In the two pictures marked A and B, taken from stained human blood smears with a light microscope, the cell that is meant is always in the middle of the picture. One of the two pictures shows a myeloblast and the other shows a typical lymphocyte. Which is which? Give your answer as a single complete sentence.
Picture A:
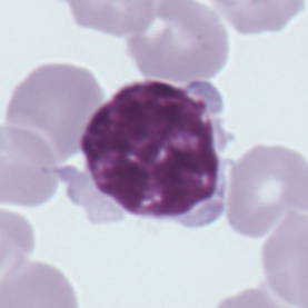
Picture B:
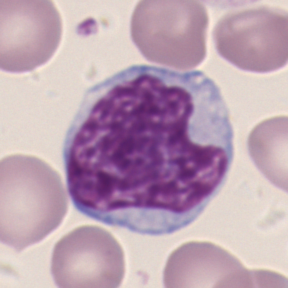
It is picture A that shows a typical lymphocyte, and picture B that shows a myeloblast.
